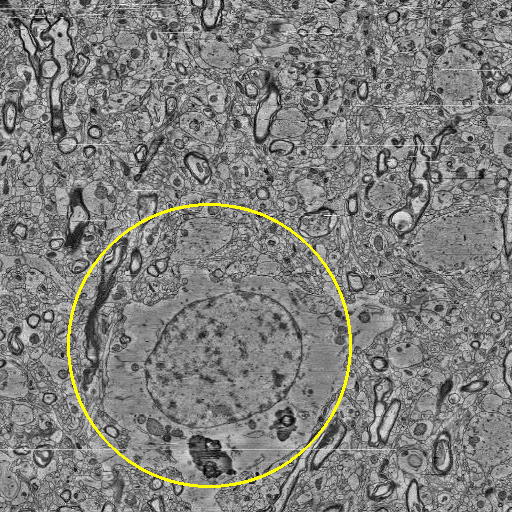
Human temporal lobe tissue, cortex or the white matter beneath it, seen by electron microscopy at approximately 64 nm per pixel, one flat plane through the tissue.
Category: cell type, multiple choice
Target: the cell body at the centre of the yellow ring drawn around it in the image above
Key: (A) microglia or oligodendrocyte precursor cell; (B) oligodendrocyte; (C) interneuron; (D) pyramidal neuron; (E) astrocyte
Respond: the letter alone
E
